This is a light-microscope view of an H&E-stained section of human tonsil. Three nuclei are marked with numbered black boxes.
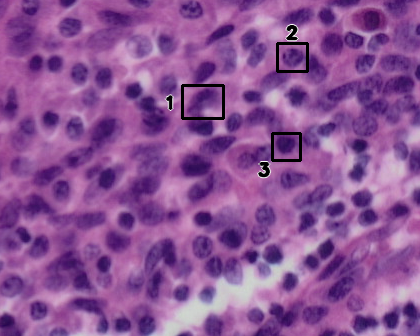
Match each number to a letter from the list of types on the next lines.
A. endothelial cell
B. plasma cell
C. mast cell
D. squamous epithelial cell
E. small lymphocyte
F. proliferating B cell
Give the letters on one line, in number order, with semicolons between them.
D; B; B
